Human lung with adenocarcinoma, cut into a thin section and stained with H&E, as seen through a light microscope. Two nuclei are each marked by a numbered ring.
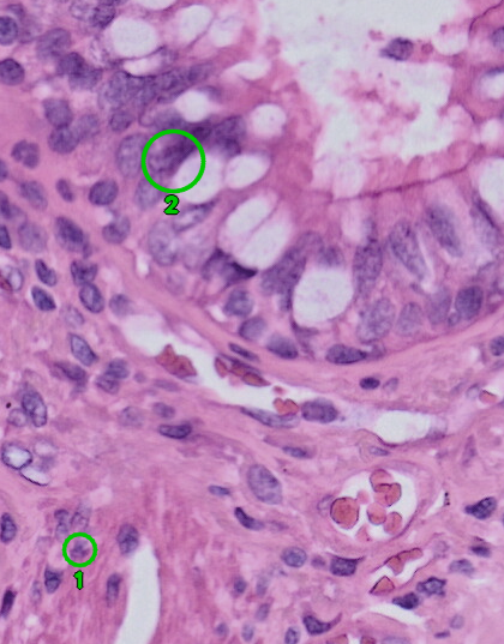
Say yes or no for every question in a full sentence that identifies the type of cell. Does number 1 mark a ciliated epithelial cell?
No, number 1 corresponds to a smooth muscle cell or pericyte, not a ciliated epithelial cell.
